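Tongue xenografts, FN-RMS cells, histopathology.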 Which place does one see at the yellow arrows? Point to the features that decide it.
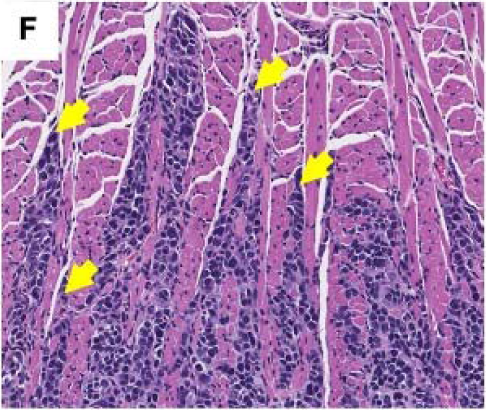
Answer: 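Pink striated muscle fibers run in parallel. Rows of dark tumor cells lie in the gaps between the fibers.
Hence: mysial spaces between neighboring muscle cells and fascicles.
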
